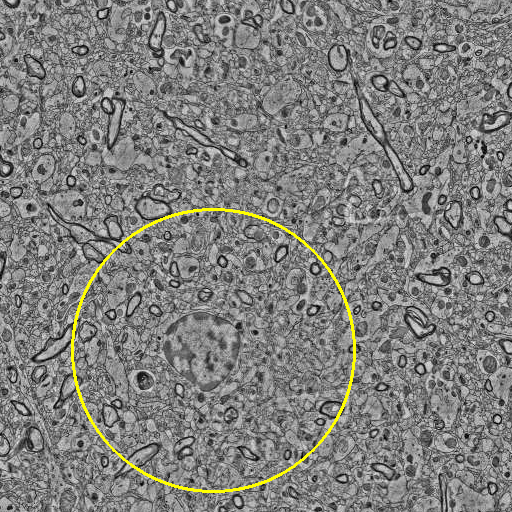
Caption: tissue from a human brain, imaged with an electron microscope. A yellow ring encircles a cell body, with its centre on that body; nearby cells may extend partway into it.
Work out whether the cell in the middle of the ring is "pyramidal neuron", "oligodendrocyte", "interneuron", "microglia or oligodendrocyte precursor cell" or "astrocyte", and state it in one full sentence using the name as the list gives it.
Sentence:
In the picture, the cell that the yellow ring surrounds at its centre is a microglial cell or oligodendrocyte precursor cell.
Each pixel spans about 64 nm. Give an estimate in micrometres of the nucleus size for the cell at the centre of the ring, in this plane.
The nucleus comes to roughly 5 micrometres across in this plane.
